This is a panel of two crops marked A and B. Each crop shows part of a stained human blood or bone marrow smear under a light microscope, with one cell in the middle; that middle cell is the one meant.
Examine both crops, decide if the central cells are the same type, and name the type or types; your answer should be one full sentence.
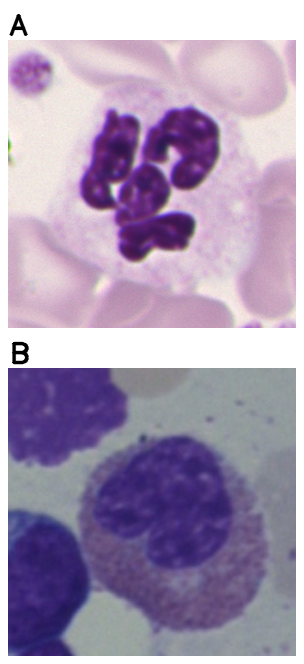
No, the cell that crop A shows is a segmented neutrophil, and the one crop B shows is an eosinophil.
